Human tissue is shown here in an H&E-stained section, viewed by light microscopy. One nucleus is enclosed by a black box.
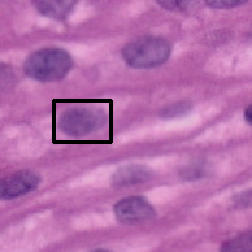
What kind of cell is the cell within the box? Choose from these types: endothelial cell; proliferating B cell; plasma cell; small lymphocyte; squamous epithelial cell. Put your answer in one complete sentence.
The cell type of the cell within the box is that of a squamous epithelial cell.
